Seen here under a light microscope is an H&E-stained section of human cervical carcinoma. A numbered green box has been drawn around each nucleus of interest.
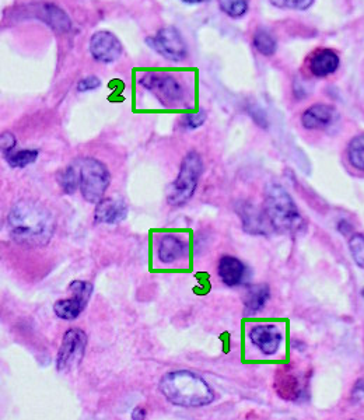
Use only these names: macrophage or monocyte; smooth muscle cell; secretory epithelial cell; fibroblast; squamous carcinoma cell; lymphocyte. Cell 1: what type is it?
lymphocyte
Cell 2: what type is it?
macrophage or monocyte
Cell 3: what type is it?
macrophage or monocyte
